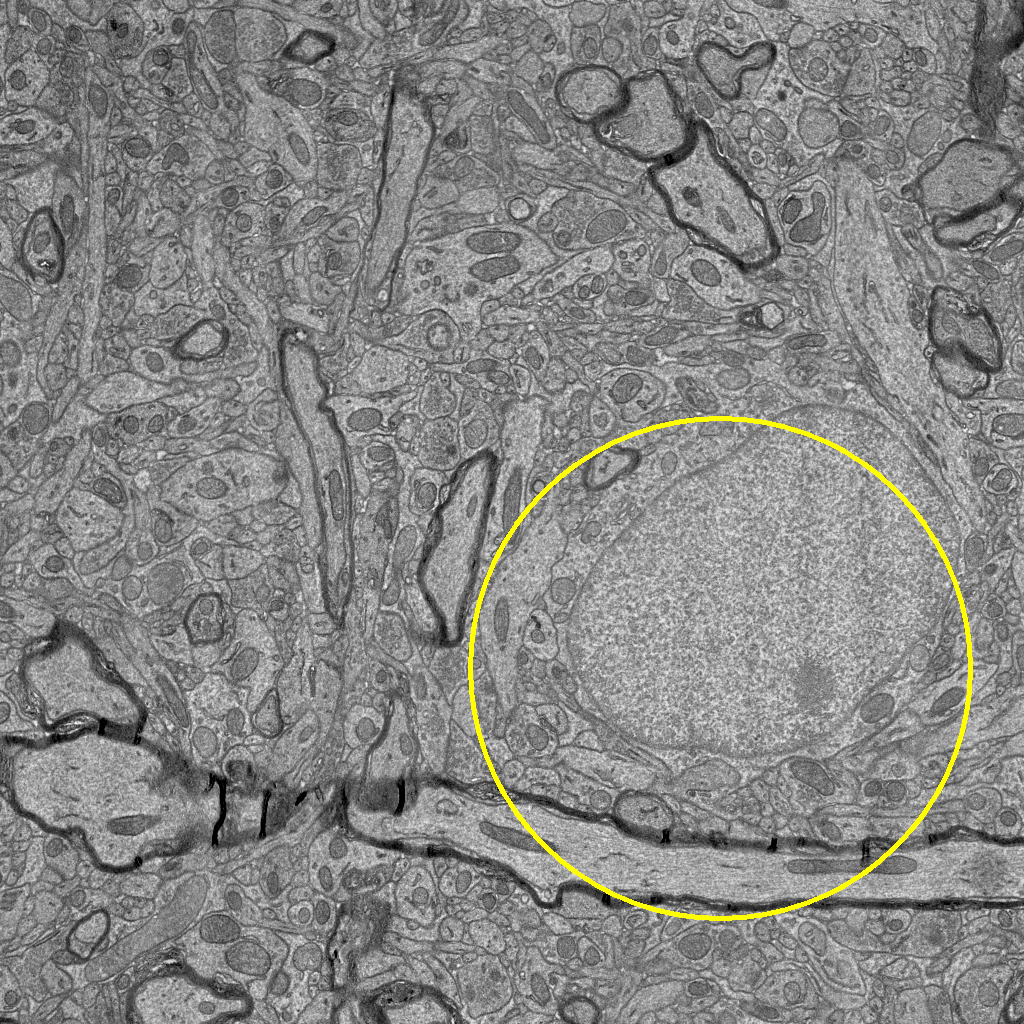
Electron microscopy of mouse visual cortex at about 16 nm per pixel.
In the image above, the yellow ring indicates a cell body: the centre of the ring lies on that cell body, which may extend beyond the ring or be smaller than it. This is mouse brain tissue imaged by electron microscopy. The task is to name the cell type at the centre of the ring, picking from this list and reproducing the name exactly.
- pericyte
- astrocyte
astrocyte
